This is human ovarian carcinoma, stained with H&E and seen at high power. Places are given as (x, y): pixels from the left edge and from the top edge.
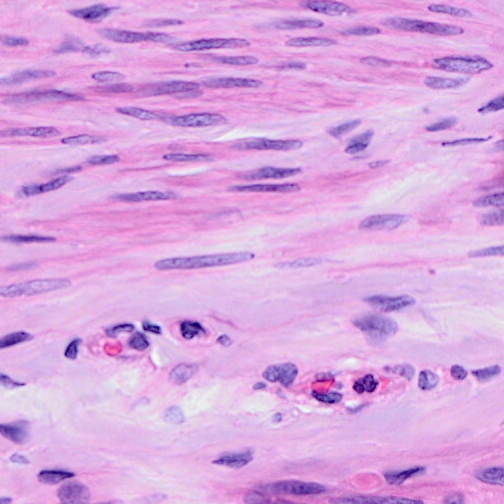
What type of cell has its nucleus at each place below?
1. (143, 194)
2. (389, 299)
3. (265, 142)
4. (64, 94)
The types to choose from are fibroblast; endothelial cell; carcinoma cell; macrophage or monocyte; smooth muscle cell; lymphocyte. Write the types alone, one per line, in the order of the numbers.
smooth muscle cell
fibroblast
smooth muscle cell
smooth muscle cell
